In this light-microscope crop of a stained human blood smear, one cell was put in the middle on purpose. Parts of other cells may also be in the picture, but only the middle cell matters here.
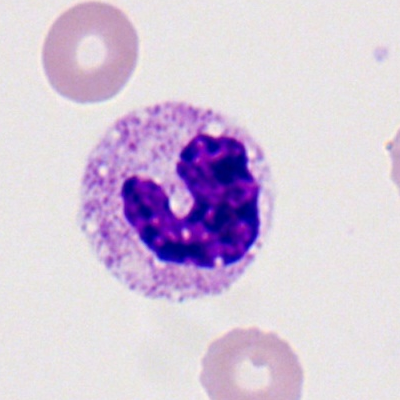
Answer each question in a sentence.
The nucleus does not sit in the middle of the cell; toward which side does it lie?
Seen from the middle of the cell, the nucleus lies toward the right.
